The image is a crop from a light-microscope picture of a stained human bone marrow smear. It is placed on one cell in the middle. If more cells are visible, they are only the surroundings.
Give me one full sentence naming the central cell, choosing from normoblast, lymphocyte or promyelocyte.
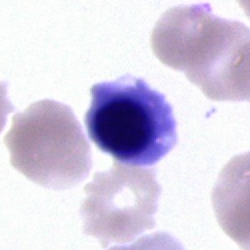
By type, the central cell of the crop is a normoblast.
